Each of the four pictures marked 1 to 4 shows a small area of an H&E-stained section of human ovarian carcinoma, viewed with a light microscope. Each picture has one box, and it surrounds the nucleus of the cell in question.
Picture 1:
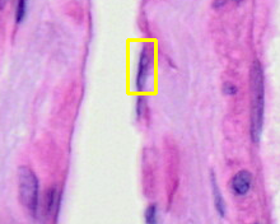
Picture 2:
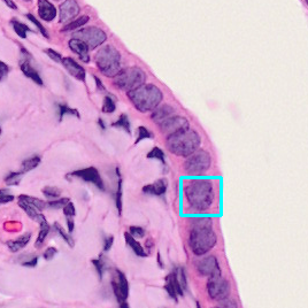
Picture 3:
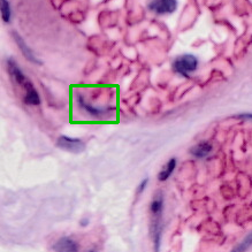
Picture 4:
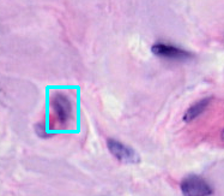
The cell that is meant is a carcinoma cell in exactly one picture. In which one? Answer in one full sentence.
Picture 2 shows the carcinoma cell.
